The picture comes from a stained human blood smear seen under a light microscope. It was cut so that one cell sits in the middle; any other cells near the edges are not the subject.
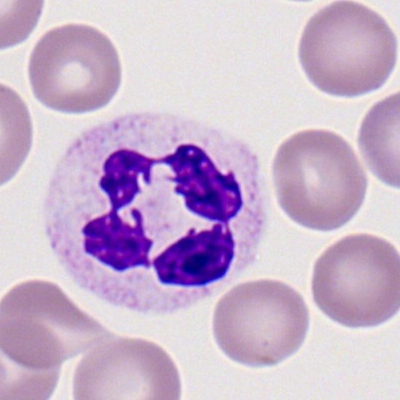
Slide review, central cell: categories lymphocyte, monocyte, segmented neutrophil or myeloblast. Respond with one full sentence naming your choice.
The cell around which this crop is centred is a segmented neutrophil.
